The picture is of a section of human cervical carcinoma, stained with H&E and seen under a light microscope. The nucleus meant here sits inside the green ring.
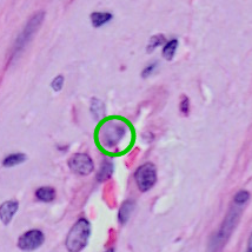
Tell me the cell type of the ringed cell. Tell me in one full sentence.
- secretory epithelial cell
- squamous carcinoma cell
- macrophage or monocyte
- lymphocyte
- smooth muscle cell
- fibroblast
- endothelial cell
Typologically, the ringed cell is an endothelial cell in this section.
